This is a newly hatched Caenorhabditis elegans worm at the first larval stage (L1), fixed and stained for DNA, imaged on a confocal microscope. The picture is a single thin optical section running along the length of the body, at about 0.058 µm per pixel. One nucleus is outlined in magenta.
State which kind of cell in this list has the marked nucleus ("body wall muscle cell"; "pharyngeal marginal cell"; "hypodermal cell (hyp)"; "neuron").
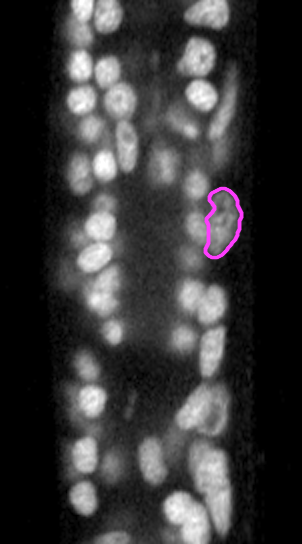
hypodermal cell (hyp)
